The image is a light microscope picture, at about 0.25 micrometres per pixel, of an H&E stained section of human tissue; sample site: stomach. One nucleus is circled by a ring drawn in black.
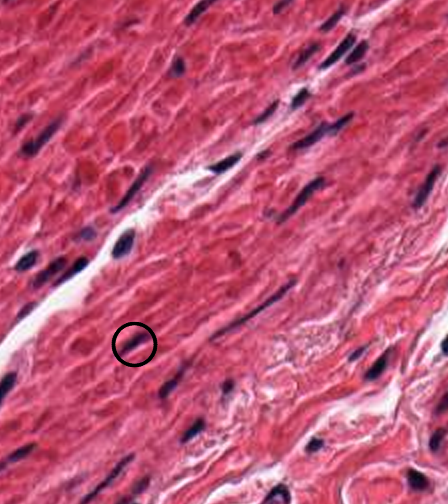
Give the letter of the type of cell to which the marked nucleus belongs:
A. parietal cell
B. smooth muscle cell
B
